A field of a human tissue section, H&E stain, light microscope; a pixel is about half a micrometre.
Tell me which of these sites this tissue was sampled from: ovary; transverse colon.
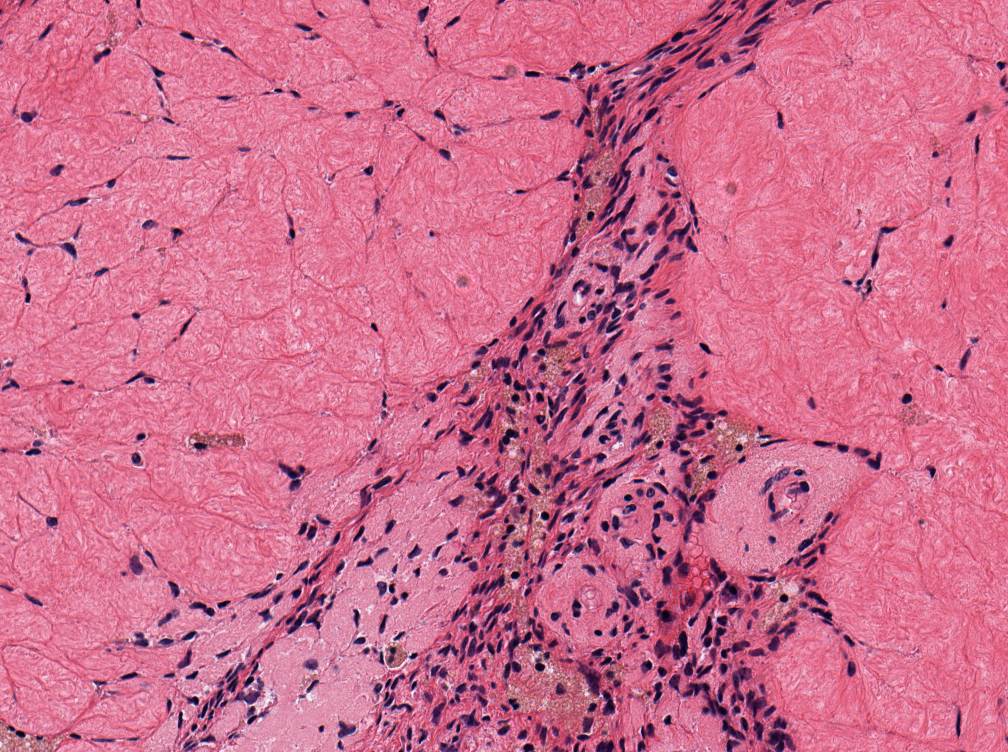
ovary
